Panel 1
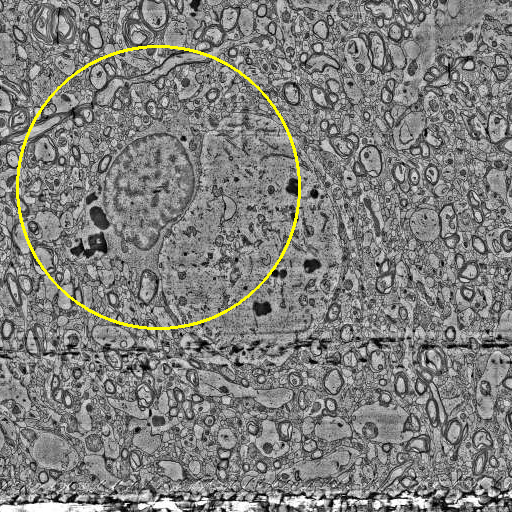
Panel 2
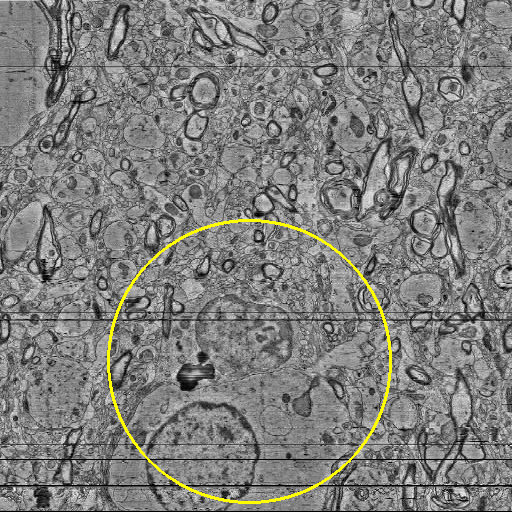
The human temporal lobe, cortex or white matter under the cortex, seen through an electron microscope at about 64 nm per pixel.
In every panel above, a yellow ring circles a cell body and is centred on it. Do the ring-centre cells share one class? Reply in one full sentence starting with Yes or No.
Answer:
Yes, the two cells at the ring centres in the panels belong to one class.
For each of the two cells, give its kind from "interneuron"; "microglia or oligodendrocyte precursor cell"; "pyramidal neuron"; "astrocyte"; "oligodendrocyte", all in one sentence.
Each cell, in the first picture and the second, is an oligodendrocyte.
